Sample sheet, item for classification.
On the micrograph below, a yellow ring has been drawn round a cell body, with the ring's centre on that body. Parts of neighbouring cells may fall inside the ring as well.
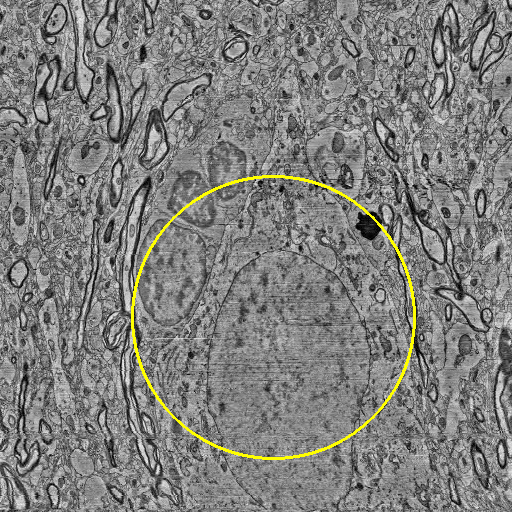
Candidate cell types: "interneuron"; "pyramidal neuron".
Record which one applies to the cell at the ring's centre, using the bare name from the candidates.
pyramidal neuron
